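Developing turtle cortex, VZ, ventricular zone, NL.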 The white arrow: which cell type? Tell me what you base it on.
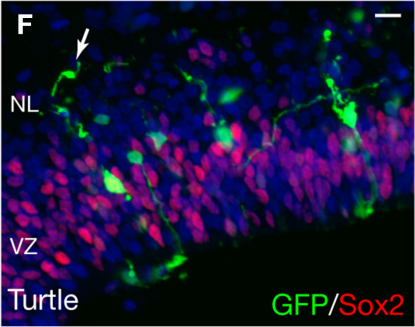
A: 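It has thin, long processes. That points to this answer: migrating neurons.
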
